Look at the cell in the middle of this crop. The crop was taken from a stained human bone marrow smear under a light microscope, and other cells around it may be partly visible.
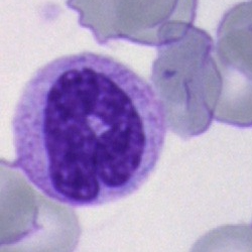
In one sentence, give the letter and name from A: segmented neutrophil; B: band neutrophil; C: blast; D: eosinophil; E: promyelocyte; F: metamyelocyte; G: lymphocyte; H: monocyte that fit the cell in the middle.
The cell shown centrally is a band neutrophil; option B is the correct option.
